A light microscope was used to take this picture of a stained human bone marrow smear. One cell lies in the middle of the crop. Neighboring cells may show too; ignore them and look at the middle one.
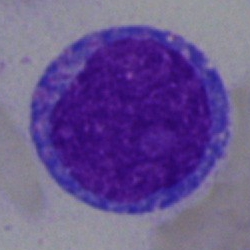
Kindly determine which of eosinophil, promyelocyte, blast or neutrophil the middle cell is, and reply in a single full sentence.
In this crop, the cell at the very middle is a blast.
